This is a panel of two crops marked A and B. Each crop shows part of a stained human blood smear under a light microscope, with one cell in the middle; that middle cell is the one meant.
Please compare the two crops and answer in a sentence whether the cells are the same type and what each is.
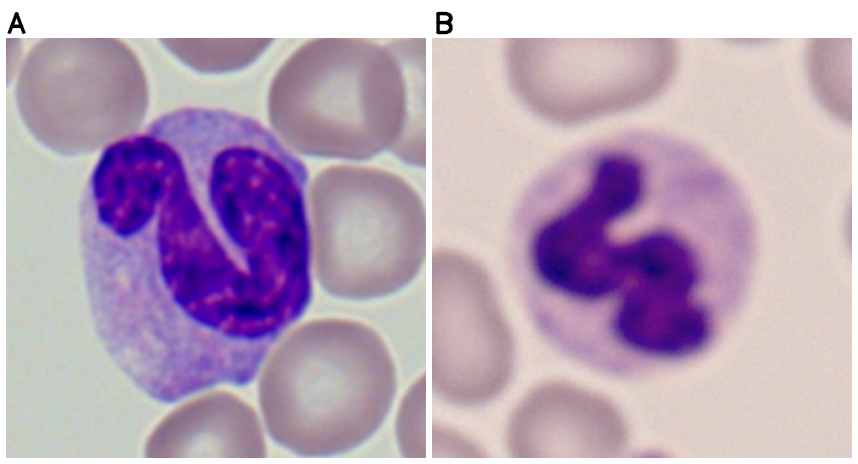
No, crop A is of a monocyte, and crop B is of a segmented neutrophil.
